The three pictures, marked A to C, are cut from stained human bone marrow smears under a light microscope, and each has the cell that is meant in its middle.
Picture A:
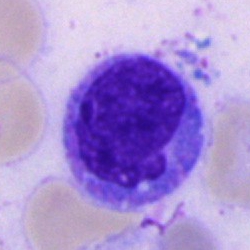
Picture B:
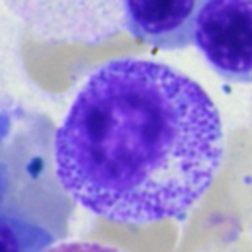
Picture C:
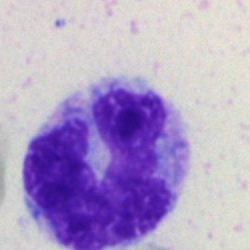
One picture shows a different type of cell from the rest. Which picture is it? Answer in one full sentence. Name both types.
Picture B is the odd one out: it shows a myelocyte, while the others show monocytes.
